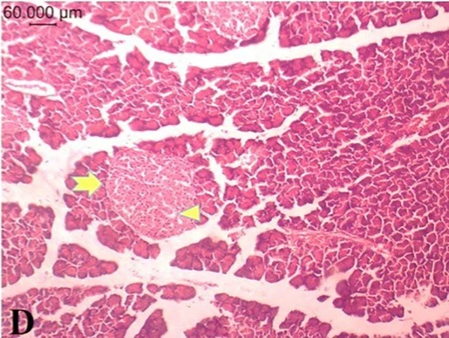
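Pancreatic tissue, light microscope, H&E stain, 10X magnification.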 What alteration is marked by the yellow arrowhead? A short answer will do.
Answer: destruction and vacuolation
